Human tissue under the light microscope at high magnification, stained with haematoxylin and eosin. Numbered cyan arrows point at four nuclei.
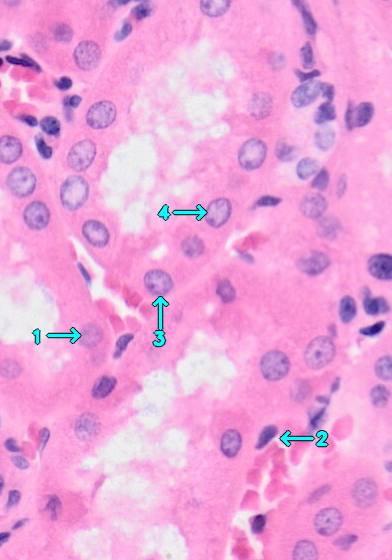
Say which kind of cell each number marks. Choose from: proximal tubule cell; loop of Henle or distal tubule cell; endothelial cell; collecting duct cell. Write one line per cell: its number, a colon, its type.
1: proximal tubule cell
2: endothelial cell
3: proximal tubule cell
4: proximal tubule cell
